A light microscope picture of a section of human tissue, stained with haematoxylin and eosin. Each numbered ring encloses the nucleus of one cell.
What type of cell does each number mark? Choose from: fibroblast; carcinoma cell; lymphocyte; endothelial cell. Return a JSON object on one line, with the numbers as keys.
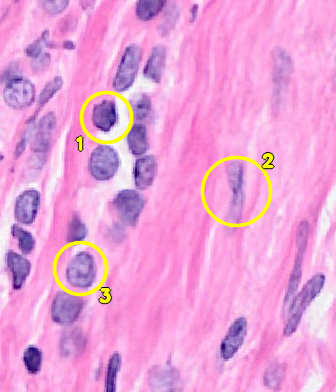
{"1": "carcinoma cell", "2": "fibroblast", "3": "carcinoma cell"}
